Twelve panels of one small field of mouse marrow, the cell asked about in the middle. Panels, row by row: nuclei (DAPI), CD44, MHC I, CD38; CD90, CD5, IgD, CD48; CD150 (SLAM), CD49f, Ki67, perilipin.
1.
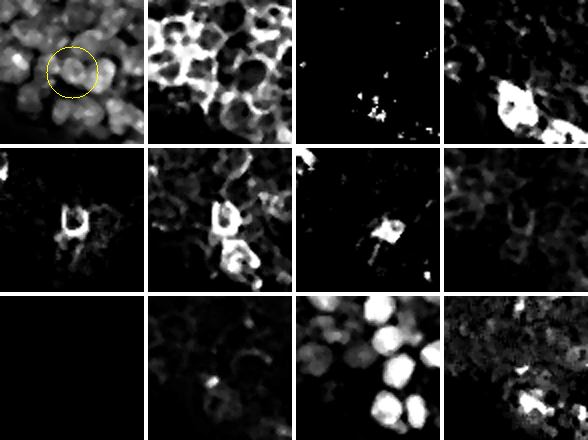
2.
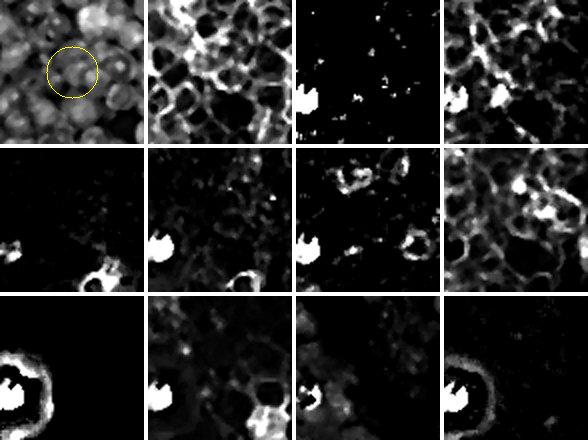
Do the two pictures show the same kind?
No: a T cell, then an erythroblast.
